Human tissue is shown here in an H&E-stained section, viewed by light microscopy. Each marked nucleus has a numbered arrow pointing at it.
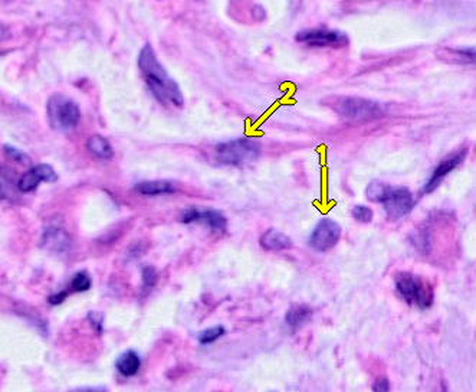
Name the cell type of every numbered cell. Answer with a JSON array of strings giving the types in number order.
["macrophage or monocyte", "fibroblast"]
